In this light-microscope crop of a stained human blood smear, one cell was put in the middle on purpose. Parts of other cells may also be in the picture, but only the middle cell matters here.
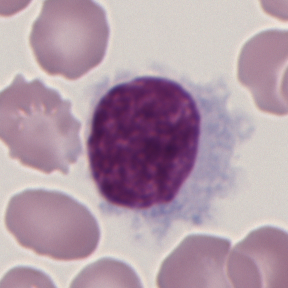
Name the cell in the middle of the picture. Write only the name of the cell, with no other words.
hairy cell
